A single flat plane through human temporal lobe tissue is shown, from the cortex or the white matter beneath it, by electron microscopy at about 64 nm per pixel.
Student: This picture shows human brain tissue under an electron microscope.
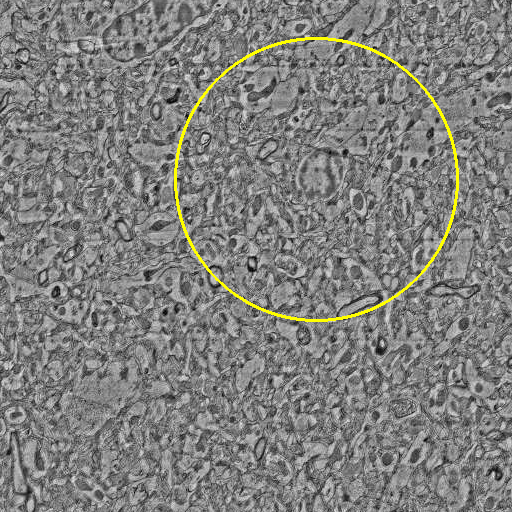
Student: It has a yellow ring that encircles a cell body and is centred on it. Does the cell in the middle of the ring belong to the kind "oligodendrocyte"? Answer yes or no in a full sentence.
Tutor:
No, the cell in the middle of the ring in this picture is of another kind.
